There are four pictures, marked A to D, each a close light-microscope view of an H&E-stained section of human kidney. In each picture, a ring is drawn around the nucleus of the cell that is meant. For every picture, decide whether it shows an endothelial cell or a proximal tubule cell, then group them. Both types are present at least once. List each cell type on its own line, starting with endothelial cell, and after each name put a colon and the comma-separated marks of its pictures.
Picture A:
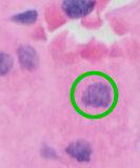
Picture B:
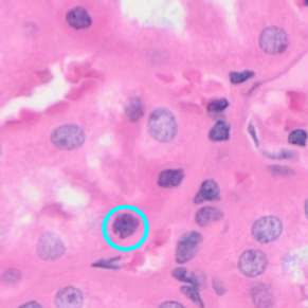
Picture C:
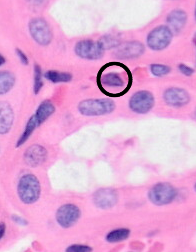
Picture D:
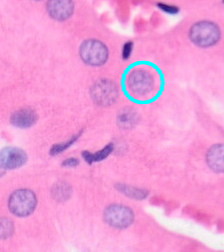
endothelial cell: C
proximal tubule cell: A, B, D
